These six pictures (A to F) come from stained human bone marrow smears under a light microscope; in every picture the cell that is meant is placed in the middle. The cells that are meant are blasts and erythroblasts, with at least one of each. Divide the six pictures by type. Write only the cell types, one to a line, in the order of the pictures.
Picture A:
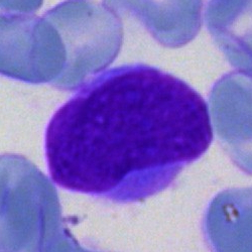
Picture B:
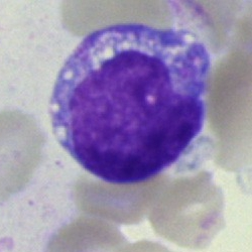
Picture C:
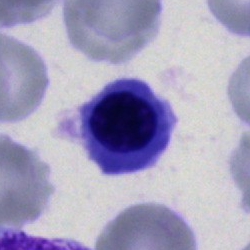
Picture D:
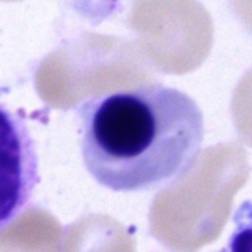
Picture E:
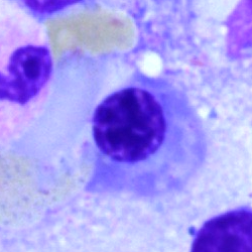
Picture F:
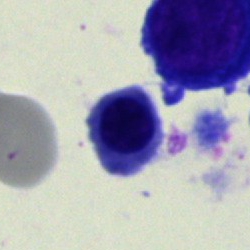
blast
blast
erythroblast
erythroblast
erythroblast
erythroblast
